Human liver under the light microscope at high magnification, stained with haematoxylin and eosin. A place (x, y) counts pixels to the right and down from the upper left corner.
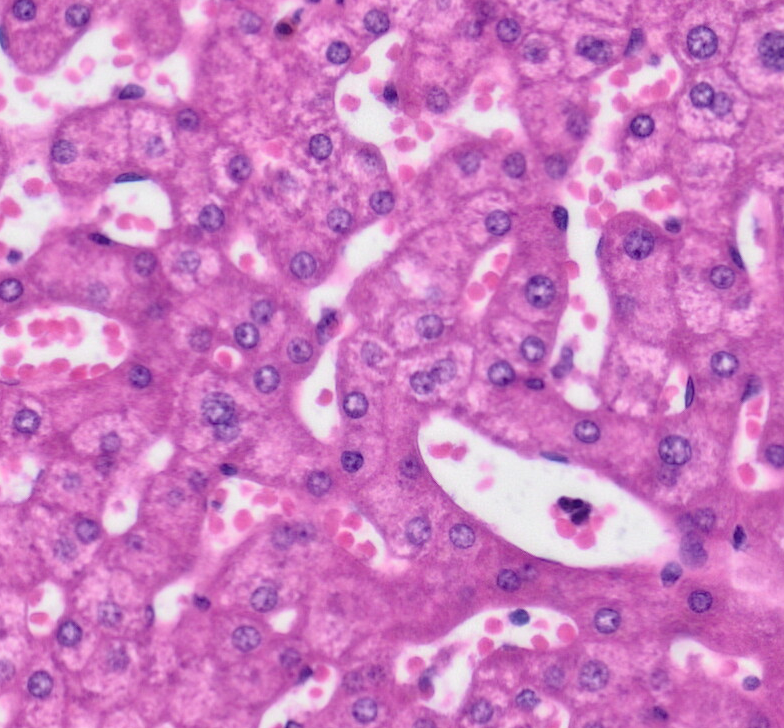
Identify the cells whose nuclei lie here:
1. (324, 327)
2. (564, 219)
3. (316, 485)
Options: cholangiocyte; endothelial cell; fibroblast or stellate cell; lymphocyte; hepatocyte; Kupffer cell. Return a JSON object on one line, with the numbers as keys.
{"1": "Kupffer cell", "2": "fibroblast or stellate cell", "3": "hepatocyte"}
